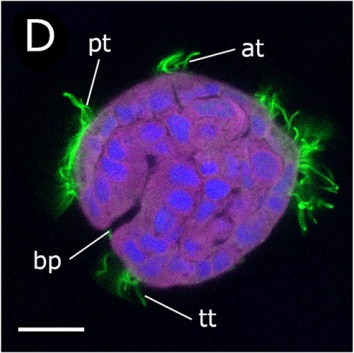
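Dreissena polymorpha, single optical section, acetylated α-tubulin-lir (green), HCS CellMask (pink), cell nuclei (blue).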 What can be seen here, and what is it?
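Tufts of green cilia project from the top, from both sides near the upper half and from the lower pole. On the lower left a narrow cleft cuts inward from the surface, lined by cells.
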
